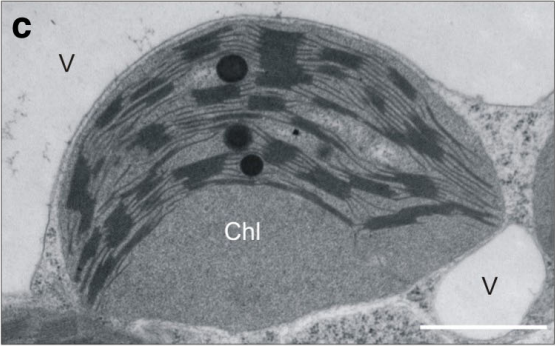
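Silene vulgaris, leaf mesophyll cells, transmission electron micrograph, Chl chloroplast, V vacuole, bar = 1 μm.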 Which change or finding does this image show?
Swollen stroma.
